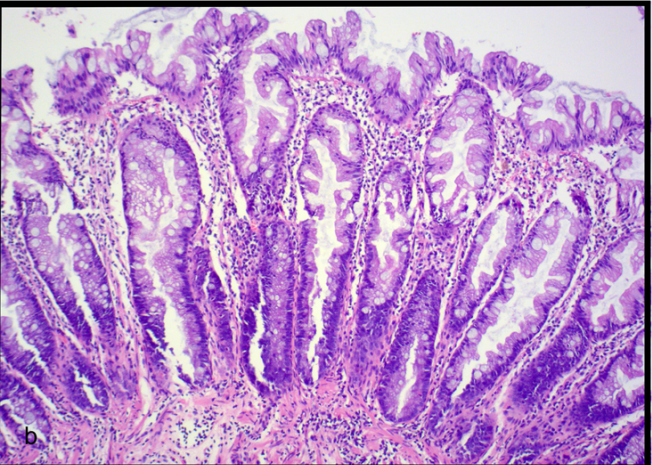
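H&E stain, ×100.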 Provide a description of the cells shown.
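This is a hyperplastic polyp of the bowel mucosa, with long, straight, parallel crypts set in a cellular lamina propria. The surface epithelium and the upper parts of the crypts have saw-toothed, infolded outlines, while the lower crypts are narrow and smooth. The crypts are lined by columnar cells with many mucin-filled goblet cells and small basal nuclei. The stroma between the crypts holds many small round inflammatory cells.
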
